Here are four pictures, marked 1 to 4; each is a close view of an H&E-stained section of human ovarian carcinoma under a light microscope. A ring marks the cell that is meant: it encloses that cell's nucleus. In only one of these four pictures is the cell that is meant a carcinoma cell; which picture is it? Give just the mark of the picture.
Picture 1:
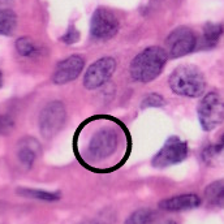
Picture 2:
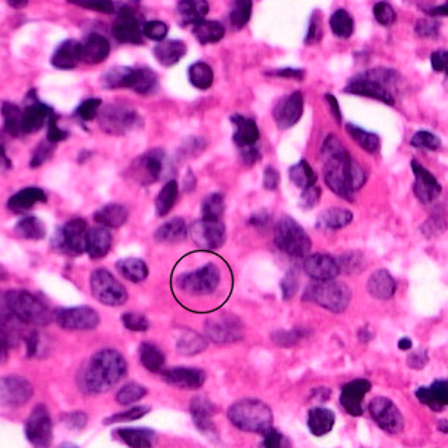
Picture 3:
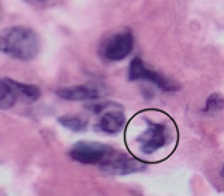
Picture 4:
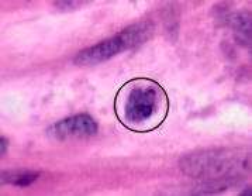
1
